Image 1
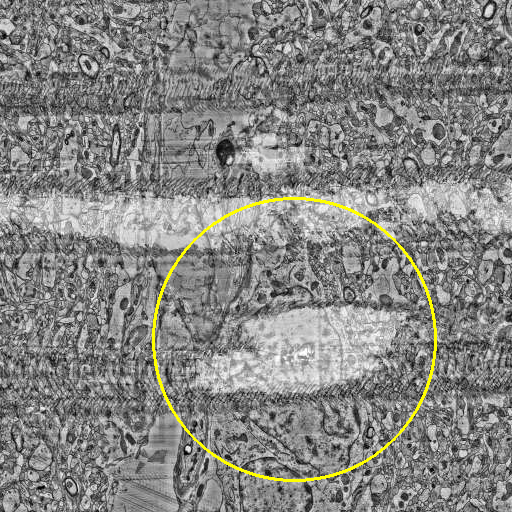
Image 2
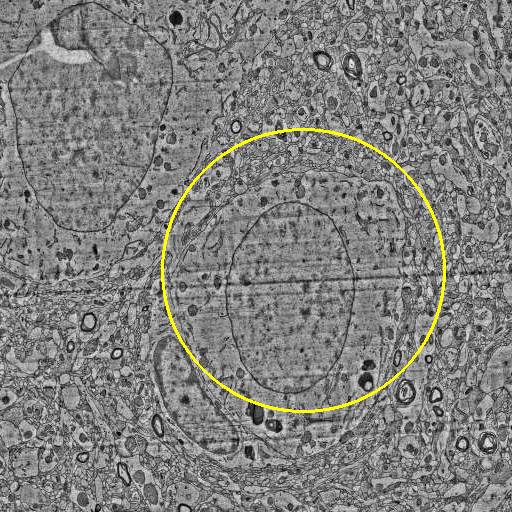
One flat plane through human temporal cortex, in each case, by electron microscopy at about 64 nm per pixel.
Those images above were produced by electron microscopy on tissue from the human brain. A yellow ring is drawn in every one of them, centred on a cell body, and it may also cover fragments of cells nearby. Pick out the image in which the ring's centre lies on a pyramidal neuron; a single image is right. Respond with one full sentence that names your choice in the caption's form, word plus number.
Image 2 is my choice: its ring is centred on the requested cell.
